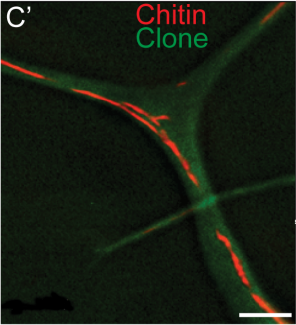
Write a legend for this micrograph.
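This shows the branches of a tracheal terminal cell filled with green cytoplasm. Within the branches the red lining is not continuous but lies in short, separate streaks with gaps between them. The green branches are broad, and the red streaks run along inside them rather than forming a single unbroken tube.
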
